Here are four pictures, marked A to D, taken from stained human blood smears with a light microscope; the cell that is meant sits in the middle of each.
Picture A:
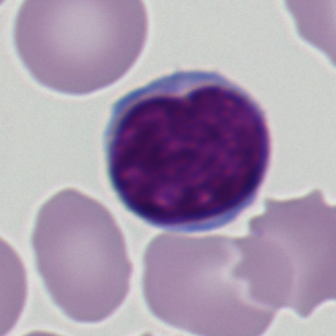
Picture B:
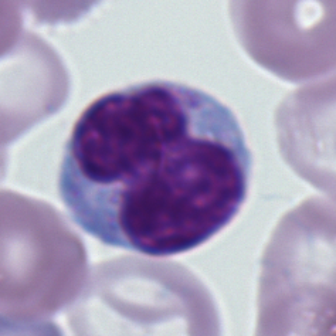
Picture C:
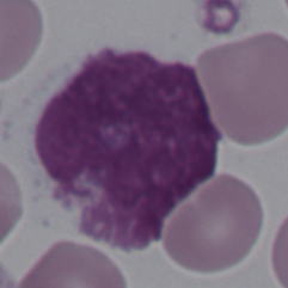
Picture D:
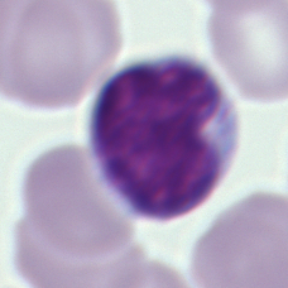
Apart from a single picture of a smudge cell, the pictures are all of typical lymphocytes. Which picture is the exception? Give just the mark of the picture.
C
